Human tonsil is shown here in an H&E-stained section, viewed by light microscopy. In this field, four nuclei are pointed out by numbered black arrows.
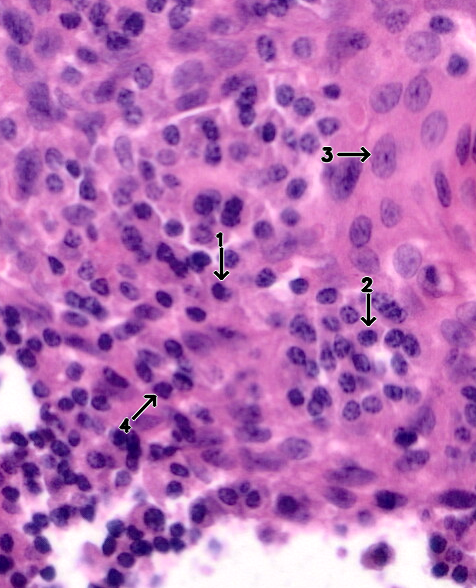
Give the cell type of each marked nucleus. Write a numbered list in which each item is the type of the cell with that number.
1. plasma cell
2. plasma cell
3. squamous epithelial cell
4. plasma cell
